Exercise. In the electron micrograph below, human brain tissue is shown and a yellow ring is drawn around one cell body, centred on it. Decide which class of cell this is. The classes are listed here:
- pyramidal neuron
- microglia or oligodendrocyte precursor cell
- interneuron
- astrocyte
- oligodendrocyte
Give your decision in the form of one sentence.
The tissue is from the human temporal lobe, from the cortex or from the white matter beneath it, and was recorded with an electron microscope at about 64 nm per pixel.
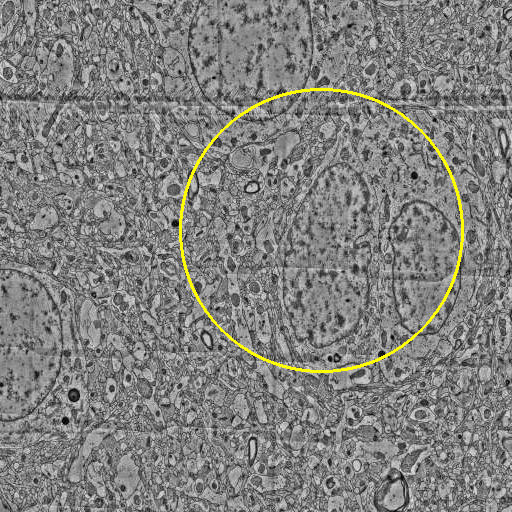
The cell body marked by the ring belongs to an interneuron.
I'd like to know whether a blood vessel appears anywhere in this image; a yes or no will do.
No, none appears.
